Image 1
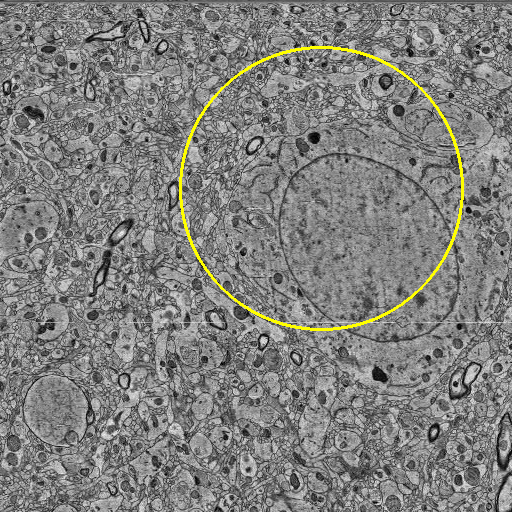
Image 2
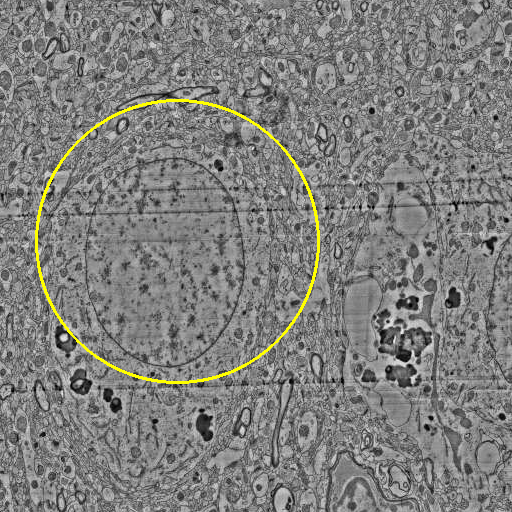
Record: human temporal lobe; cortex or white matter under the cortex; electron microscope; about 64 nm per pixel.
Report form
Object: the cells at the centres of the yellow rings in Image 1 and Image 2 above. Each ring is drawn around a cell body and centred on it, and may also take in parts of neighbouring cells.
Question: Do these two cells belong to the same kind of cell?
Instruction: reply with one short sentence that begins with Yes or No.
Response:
Yes, both belong to the same kind of cell.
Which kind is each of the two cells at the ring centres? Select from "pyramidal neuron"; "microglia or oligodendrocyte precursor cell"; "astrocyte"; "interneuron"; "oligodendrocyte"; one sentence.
Both the first and the second picture show a pyramidal neuron in the ring.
